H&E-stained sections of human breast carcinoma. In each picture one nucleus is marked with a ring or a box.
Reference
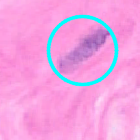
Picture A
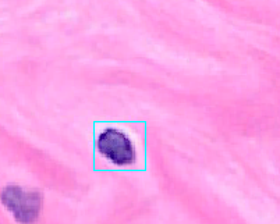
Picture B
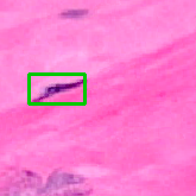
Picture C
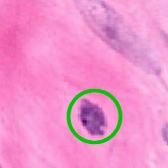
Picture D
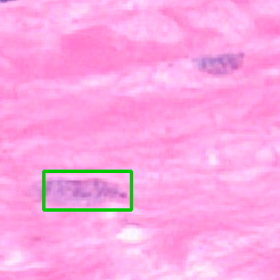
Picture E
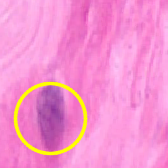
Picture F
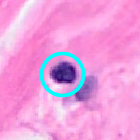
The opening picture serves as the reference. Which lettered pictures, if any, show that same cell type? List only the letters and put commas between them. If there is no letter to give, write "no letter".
B, D, E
